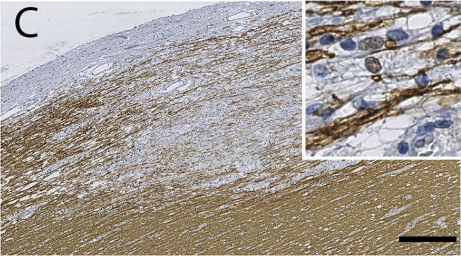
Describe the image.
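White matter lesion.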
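Toward the surface the brown fibres thin out and break up into a paler, loosened zone with fewer stained fibres. The boundary between stained and pale tissue is irregular rather than sharp.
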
